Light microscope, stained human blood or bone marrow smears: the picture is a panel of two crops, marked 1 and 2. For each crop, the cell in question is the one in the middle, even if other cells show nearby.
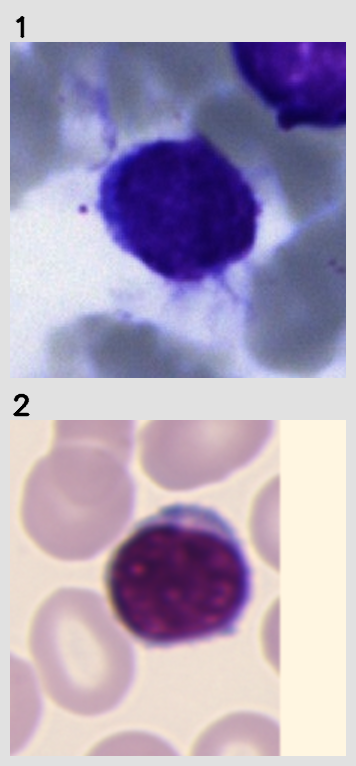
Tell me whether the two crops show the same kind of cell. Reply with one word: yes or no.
yes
